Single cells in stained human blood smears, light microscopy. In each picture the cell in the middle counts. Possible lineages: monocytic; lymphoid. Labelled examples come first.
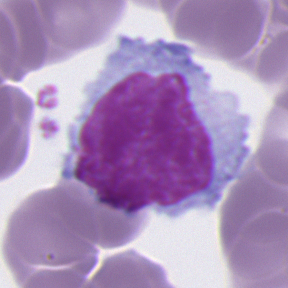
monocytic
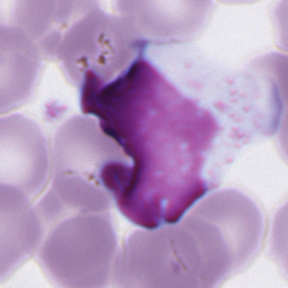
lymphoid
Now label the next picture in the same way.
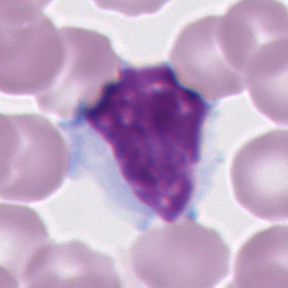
lymphoid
